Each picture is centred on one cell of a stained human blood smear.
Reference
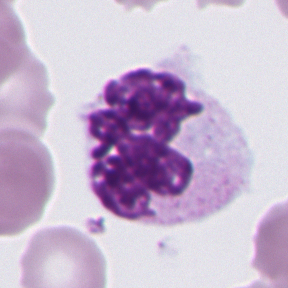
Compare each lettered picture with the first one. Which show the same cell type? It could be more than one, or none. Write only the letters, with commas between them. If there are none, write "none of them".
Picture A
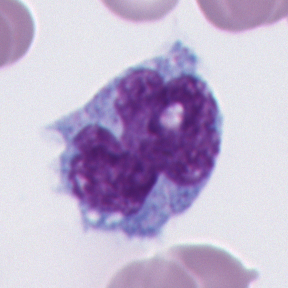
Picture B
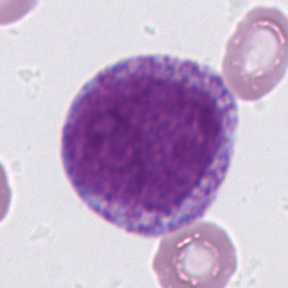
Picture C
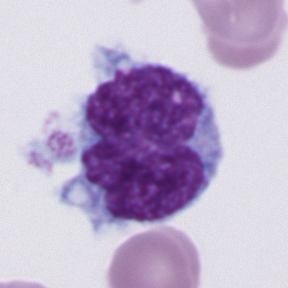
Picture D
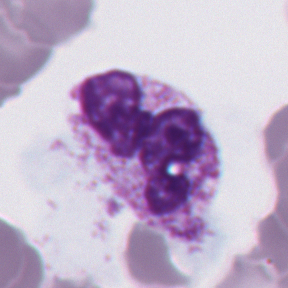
D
